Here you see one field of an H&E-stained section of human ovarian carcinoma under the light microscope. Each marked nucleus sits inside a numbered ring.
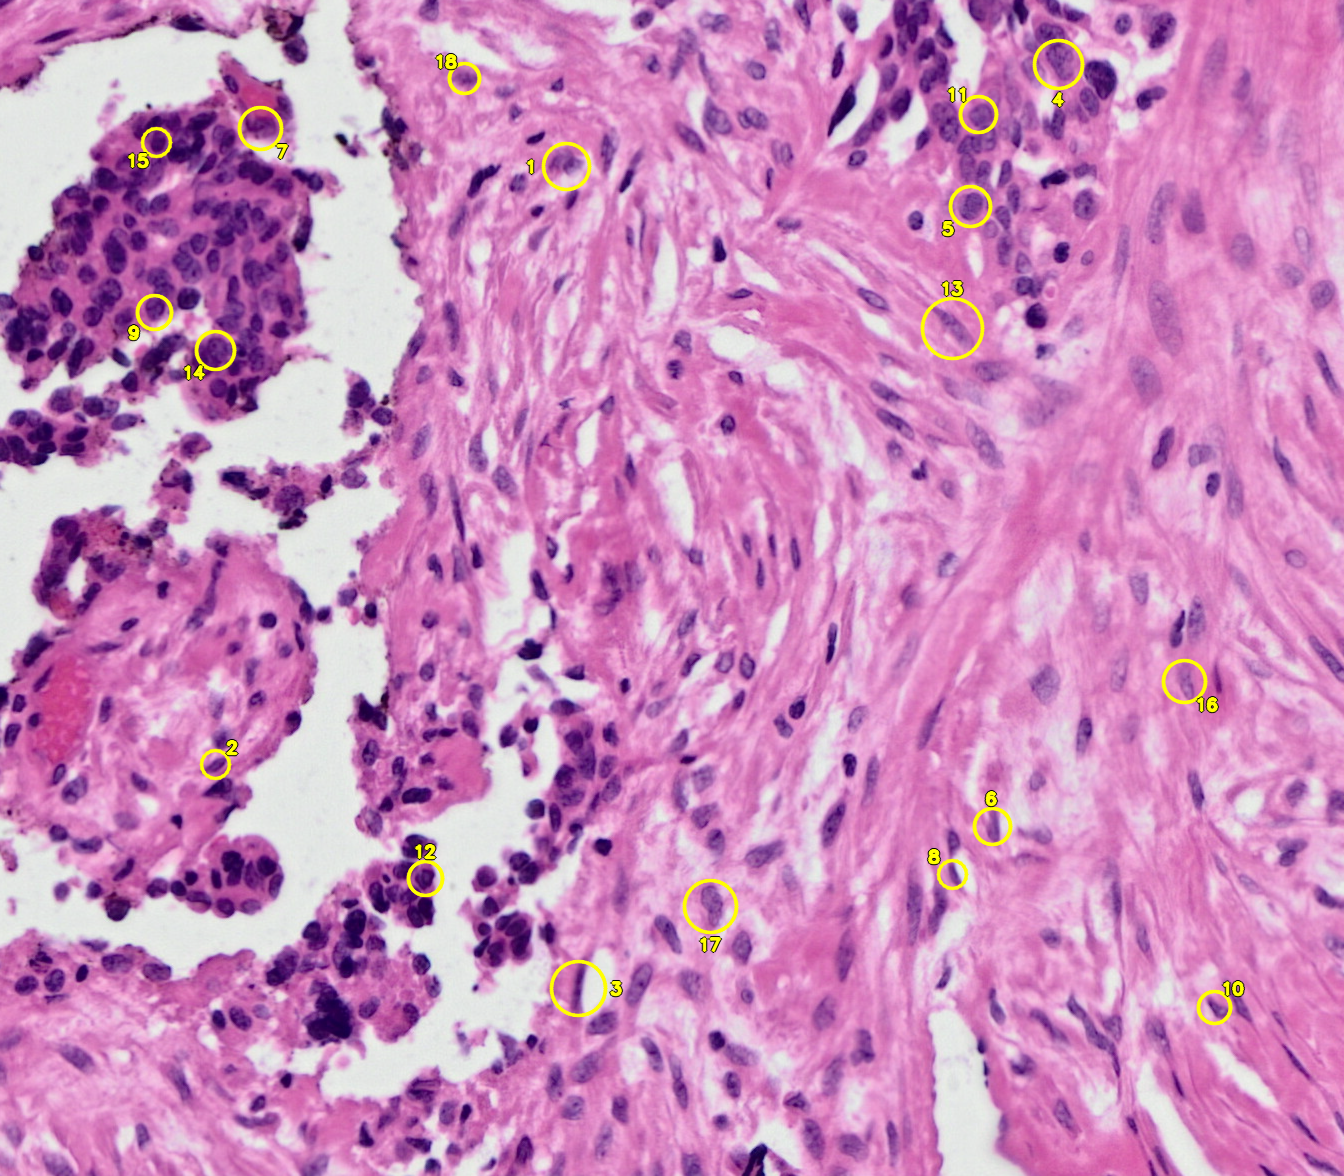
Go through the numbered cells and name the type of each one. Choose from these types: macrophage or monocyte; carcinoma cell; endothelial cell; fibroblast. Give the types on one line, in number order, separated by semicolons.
fibroblast; fibroblast; fibroblast; carcinoma cell; carcinoma cell; fibroblast; endothelial cell; fibroblast; carcinoma cell; fibroblast; carcinoma cell; carcinoma cell; fibroblast; carcinoma cell; carcinoma cell; fibroblast; fibroblast; fibroblast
